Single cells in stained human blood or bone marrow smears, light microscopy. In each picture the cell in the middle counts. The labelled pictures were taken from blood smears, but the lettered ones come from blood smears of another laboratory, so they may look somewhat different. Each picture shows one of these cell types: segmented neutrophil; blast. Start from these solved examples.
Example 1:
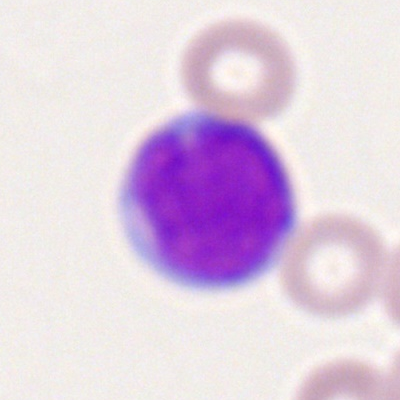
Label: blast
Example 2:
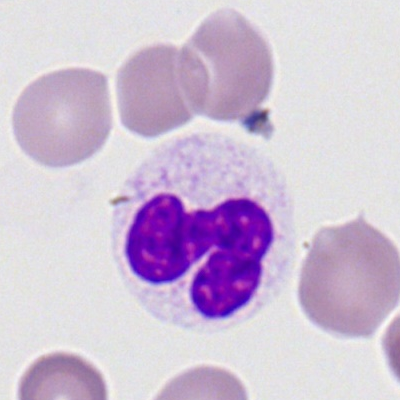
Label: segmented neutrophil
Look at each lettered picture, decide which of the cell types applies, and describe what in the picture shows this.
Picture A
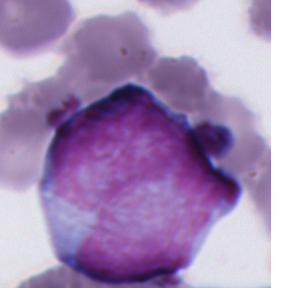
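blast. The nucleus fills most of the cell.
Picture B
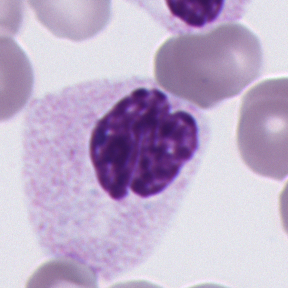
segmented neutrophil. The cytoplasm is abundant and pale pinkish-lilac.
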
